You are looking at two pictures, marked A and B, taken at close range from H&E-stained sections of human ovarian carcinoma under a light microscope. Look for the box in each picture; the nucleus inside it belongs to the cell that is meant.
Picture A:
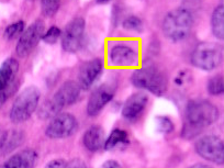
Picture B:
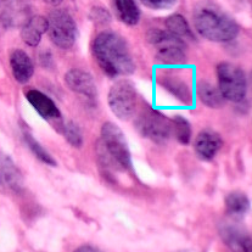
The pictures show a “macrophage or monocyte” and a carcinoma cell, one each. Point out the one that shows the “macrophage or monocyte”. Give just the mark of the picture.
A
